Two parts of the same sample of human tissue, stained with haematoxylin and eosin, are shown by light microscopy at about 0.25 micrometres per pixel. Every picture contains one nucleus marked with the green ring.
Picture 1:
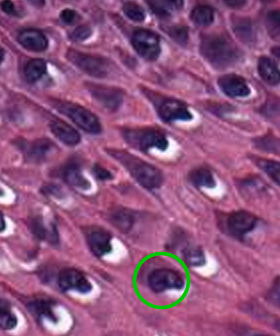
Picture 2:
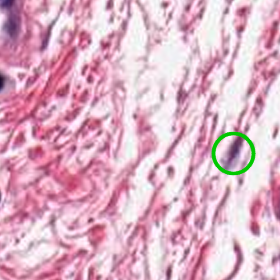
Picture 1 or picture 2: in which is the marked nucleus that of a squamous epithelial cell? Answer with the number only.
1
